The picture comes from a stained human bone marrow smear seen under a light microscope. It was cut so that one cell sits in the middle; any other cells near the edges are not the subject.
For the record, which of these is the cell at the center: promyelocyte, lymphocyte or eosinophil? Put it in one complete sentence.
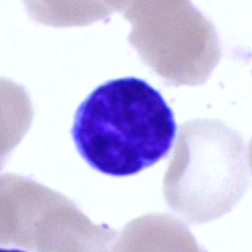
The centrally placed cell is classified as a lymphocyte.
